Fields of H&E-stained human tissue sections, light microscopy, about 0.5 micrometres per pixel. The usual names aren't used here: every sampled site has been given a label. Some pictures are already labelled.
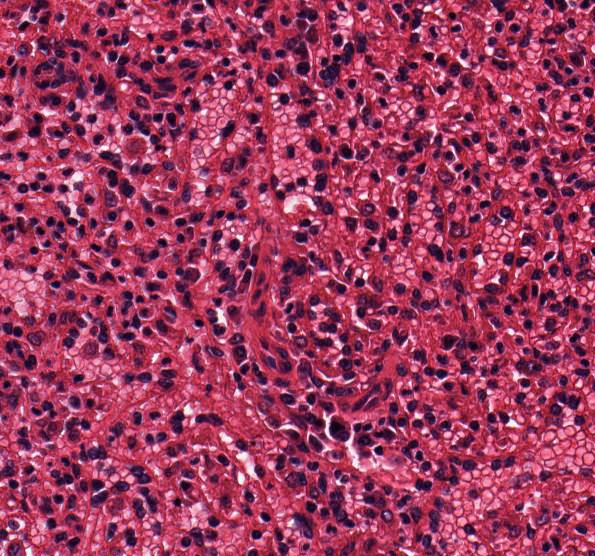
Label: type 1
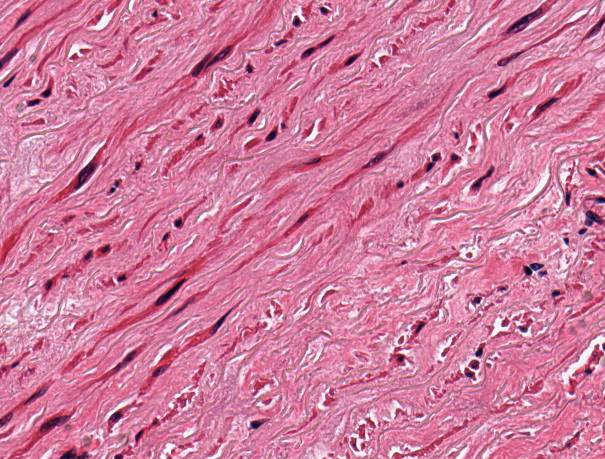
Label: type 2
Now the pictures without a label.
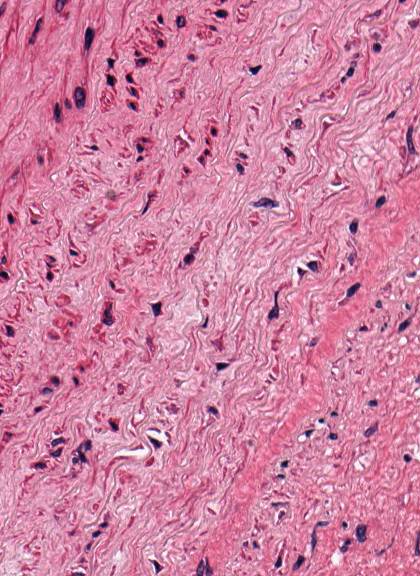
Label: type 2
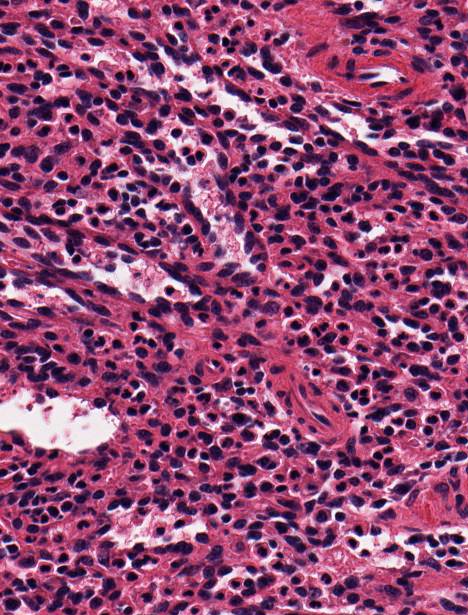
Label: type 1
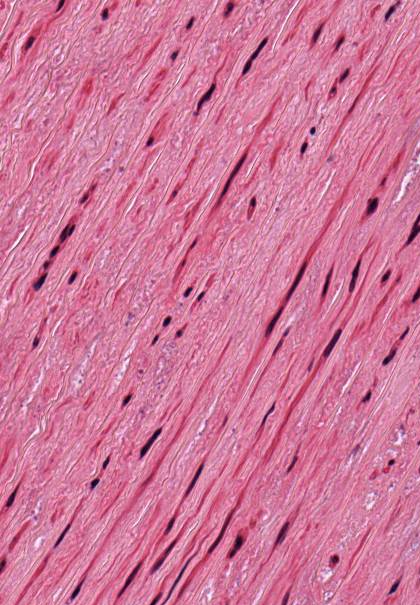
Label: type 2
